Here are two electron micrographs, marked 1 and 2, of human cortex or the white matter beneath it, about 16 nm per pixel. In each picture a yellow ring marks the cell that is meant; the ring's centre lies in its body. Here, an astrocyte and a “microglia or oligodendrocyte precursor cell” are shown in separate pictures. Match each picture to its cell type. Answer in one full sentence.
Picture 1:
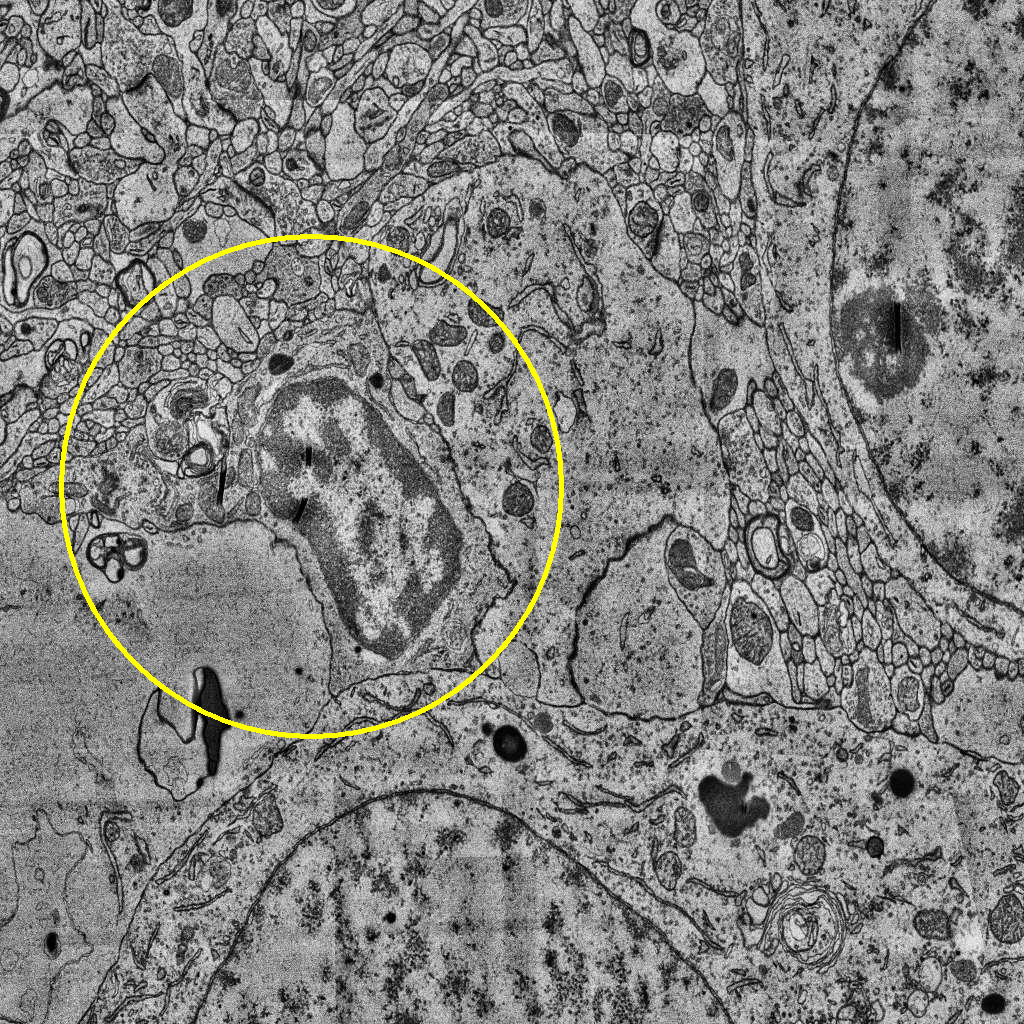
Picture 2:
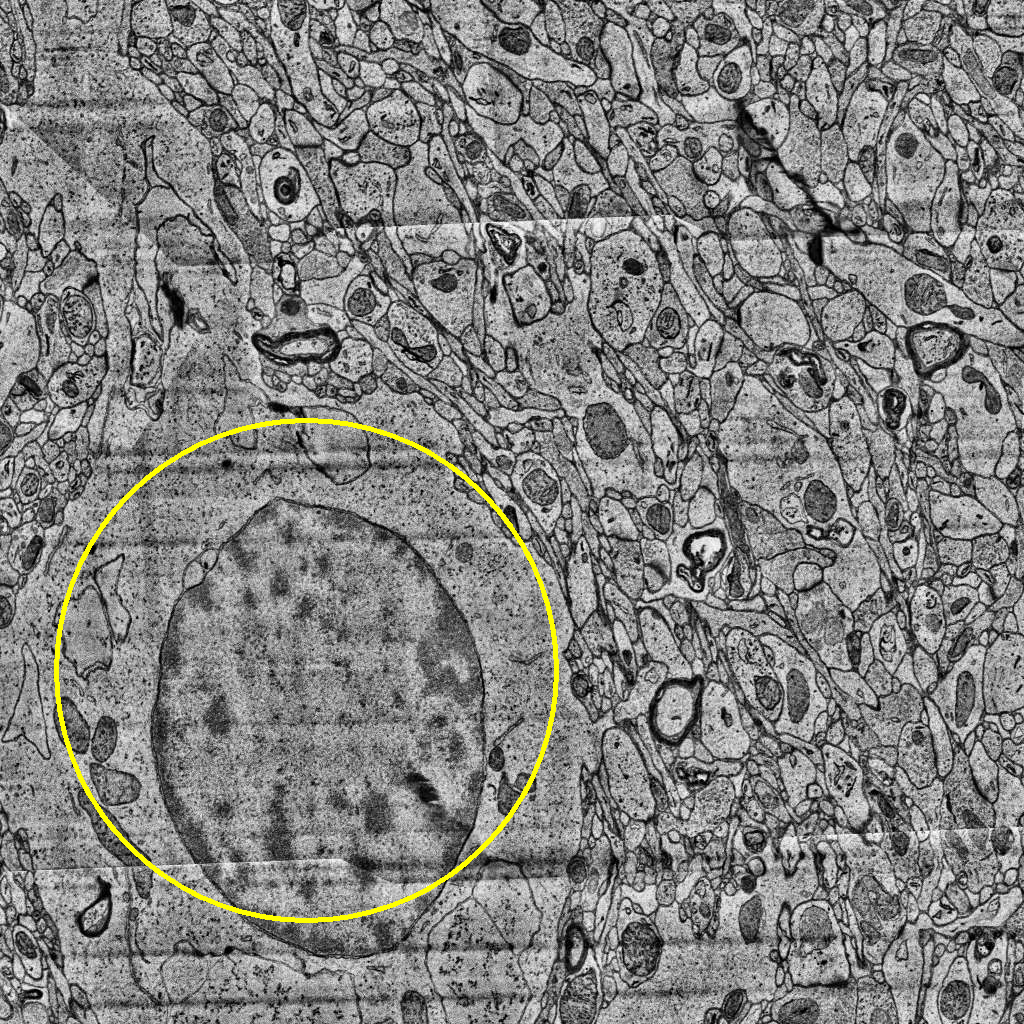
In picture 1 the cell is a “microglia or oligodendrocyte precursor cell”; in picture 2, an astrocyte.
